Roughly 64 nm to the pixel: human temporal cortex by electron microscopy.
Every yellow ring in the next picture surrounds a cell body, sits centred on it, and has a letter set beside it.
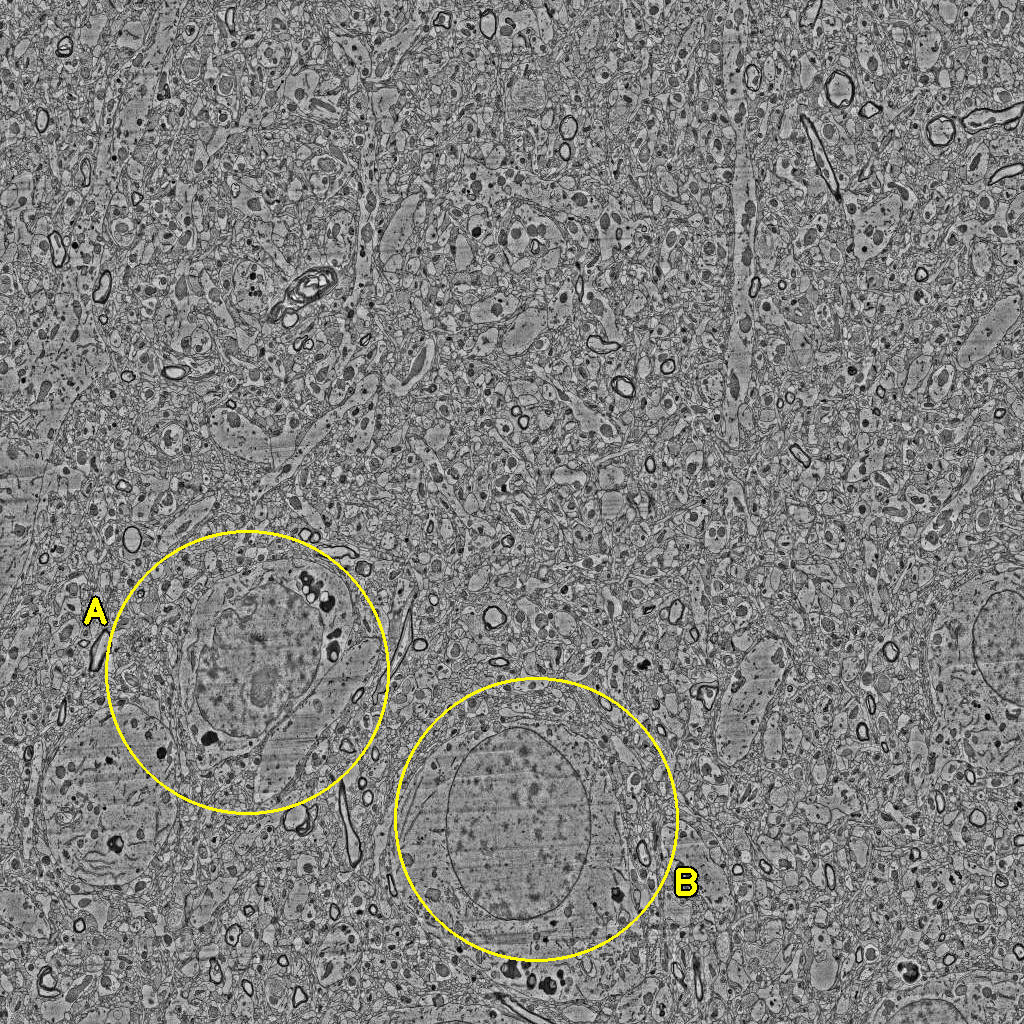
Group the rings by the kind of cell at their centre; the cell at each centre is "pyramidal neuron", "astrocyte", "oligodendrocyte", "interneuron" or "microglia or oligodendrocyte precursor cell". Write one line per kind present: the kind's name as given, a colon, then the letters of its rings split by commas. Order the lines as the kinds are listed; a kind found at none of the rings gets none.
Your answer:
pyramidal neuron: B
interneuron: A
